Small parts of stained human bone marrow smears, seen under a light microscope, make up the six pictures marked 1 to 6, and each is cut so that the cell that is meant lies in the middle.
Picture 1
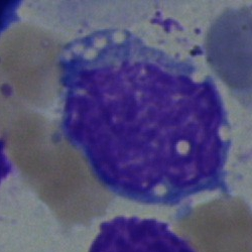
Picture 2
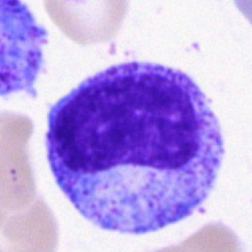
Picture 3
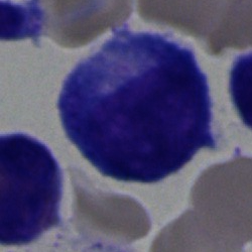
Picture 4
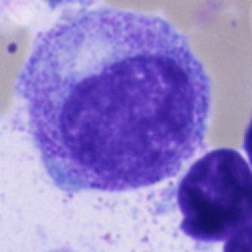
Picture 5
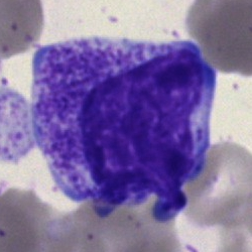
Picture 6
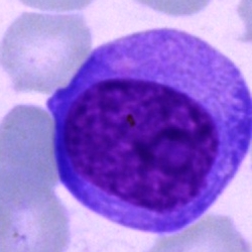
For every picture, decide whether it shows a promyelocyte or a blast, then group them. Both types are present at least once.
1: blast
2: promyelocyte
3: promyelocyte
4: promyelocyte
5: promyelocyte
6: blast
